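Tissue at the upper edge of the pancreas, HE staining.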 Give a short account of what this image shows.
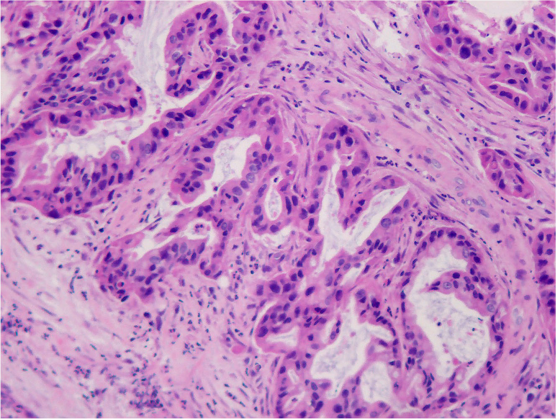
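Irregular, branching glands are lined by columnar to cuboidal epithelial cells with pink cytoplasm, and their lumens hold pale grey-pink material. The nuclei are large, dark and variable in shape and size, crowded and stacked rather than lying in one orderly row. Around the glands lies pink fibrous stroma with spindle-shaped cells and a few small dark inflammatory cells.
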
